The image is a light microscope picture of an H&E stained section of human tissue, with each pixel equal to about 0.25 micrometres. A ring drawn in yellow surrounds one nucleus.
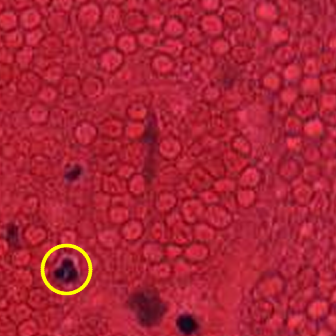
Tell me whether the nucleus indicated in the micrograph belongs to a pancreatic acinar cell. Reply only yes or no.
no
